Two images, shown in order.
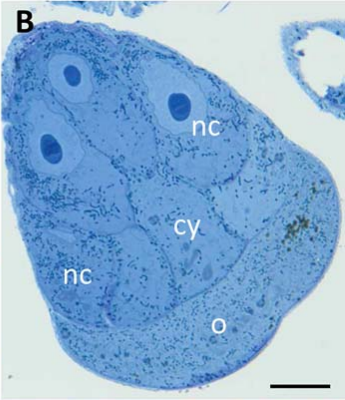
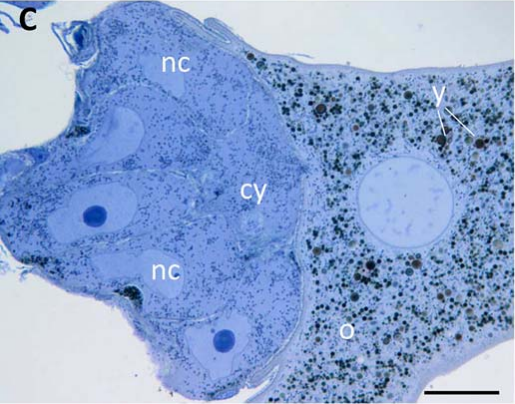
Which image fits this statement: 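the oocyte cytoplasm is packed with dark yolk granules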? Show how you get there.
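Second image: the large cell on the right is densely filled with dark brown-black granules. The answer: the second image.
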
